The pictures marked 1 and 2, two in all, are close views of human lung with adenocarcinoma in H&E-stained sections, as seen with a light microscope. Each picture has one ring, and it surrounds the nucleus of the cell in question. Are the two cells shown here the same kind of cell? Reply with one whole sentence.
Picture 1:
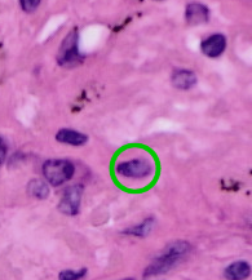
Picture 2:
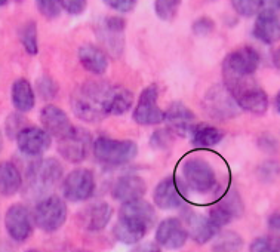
No, picture 1 shows a mast cell and picture 2 shows a lymphocyte.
